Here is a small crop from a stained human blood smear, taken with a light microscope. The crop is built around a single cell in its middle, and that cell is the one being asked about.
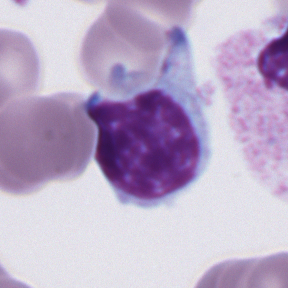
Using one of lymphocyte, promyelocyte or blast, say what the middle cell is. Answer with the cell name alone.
lymphocyte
